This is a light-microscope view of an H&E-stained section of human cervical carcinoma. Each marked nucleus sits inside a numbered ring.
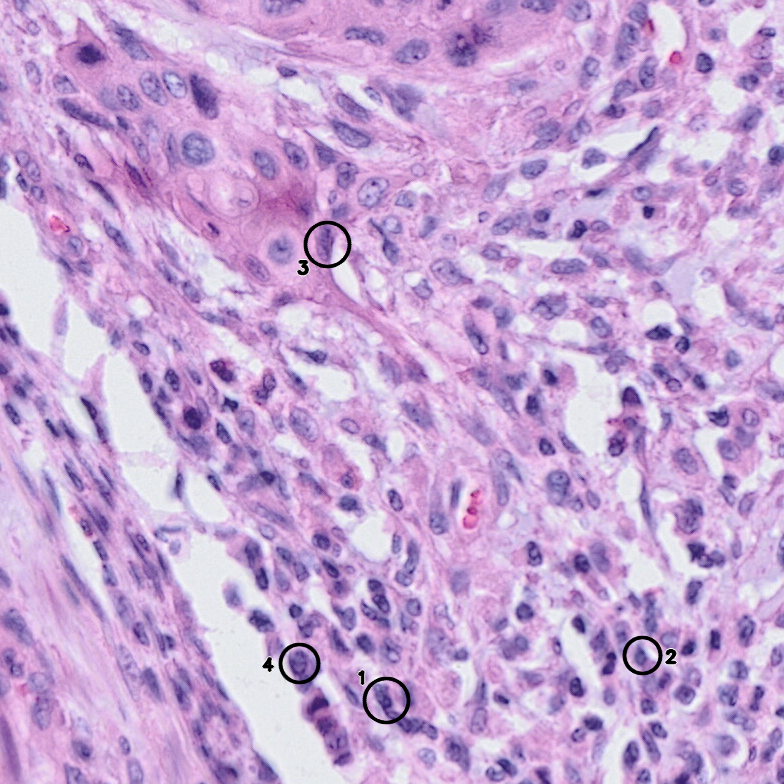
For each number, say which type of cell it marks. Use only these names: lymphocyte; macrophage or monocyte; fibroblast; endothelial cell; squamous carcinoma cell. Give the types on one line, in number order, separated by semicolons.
lymphocyte; lymphocyte; squamous carcinoma cell; lymphocyte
